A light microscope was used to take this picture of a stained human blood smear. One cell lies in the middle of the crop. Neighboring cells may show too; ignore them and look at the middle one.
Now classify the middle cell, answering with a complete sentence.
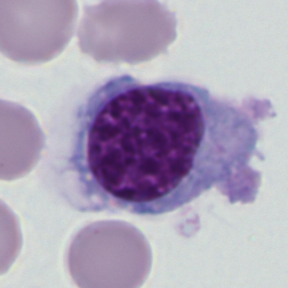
This crop's central cell is a plasma cell.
